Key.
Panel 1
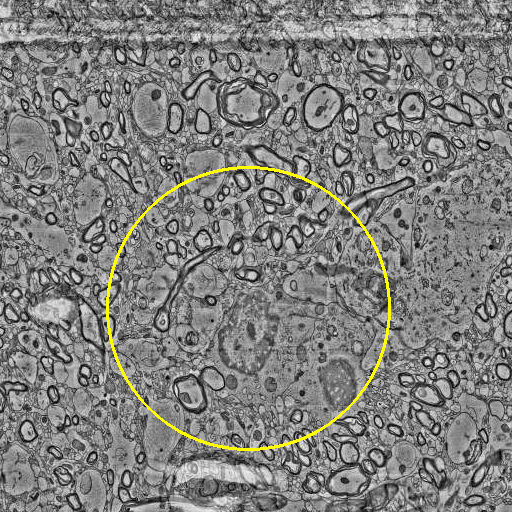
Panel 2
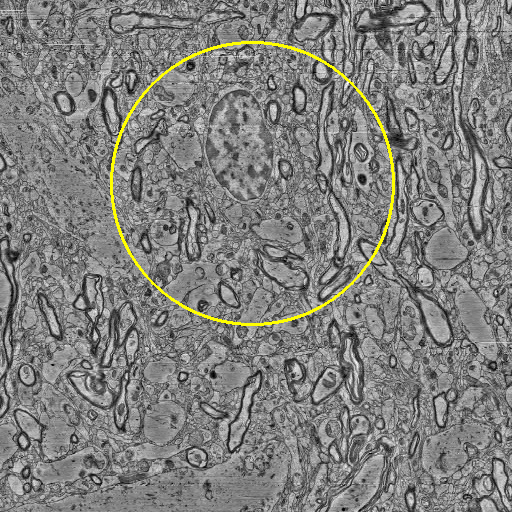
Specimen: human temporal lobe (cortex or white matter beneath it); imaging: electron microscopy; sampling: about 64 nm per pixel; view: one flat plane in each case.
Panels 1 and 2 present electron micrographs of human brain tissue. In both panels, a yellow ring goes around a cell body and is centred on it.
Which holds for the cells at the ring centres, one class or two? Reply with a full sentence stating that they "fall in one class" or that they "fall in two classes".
Taken together, the ring-centre cells of the two panels fall in two classes.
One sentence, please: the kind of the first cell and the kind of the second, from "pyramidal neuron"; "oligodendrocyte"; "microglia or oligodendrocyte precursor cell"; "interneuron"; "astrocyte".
The ring in the first picture surrounds an oligodendrocyte, and the ring in the second surrounds a microglial cell or oligodendrocyte precursor cell.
